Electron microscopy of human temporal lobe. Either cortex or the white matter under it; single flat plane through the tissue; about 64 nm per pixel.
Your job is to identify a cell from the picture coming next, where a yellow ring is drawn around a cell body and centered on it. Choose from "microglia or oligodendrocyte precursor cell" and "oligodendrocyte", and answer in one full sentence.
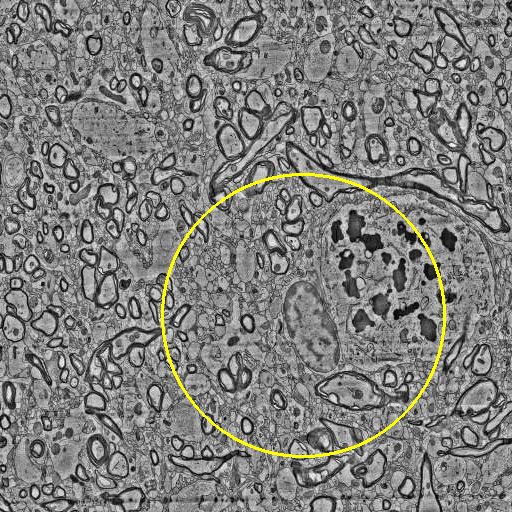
Centered in the yellow ring of the picture is the body of a microglial cell or oligodendrocyte precursor cell.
